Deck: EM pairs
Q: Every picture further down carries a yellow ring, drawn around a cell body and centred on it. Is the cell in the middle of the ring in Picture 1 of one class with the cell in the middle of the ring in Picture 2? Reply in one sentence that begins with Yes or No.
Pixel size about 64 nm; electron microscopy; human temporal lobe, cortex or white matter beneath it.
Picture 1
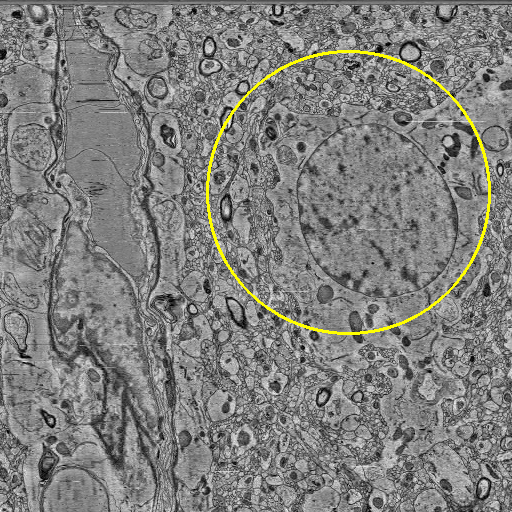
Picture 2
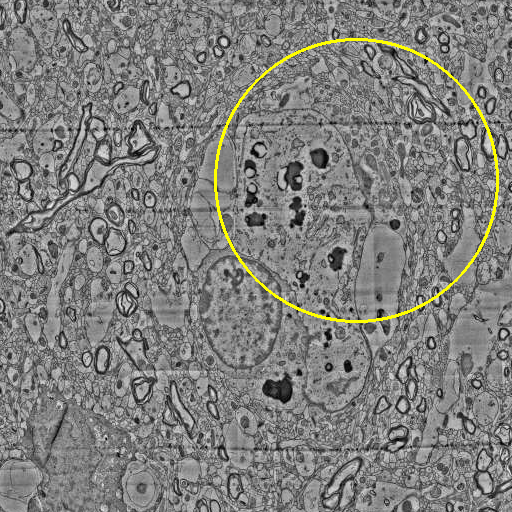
No, the cell centred in the ring of Picture 1 and the one in Picture 2 belong to separate classes.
